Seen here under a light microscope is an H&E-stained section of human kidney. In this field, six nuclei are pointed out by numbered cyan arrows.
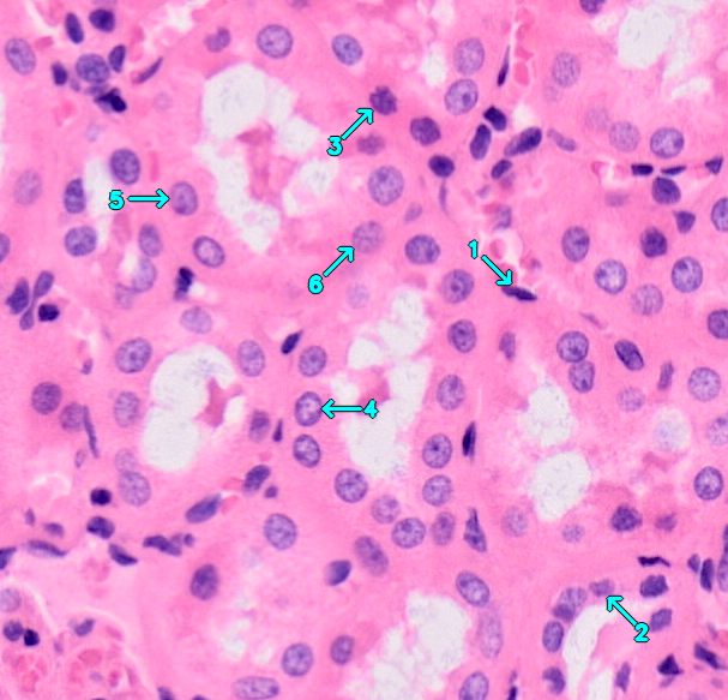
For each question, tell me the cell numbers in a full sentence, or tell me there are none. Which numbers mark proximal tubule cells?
The cells 3, 4, 5 and 6 in this section are proximal tubule cells.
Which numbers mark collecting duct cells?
The count of collecting duct cells among the numbered cells is zero.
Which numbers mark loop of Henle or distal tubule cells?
Response: cell 2 is a loop of Henle or distal tubule cell, and no other numbered cell is.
